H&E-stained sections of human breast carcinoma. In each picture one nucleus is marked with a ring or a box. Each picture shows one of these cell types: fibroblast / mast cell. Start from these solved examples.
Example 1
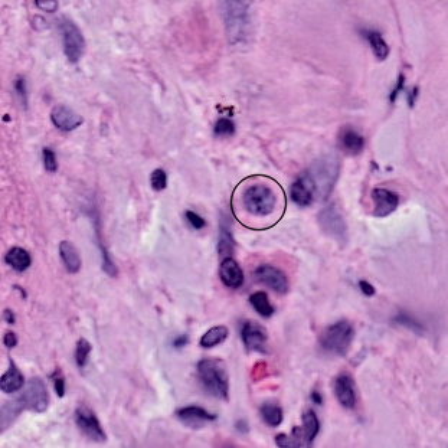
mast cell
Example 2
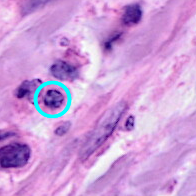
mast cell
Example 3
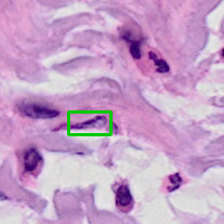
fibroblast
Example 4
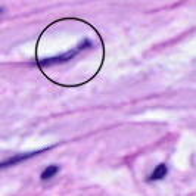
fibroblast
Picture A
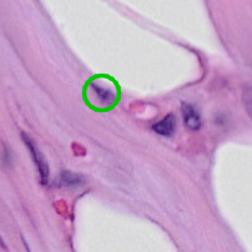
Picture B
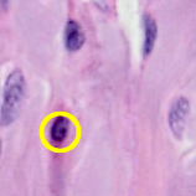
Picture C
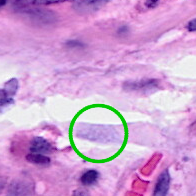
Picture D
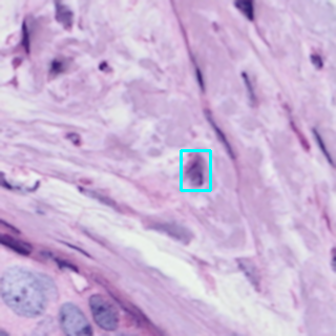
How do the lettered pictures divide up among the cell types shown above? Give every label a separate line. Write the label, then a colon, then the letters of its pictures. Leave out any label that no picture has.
fibroblast: A, C, D
mast cell: B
